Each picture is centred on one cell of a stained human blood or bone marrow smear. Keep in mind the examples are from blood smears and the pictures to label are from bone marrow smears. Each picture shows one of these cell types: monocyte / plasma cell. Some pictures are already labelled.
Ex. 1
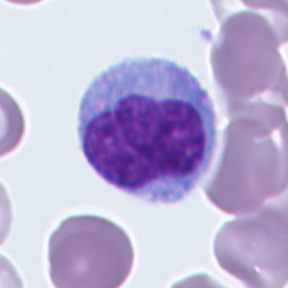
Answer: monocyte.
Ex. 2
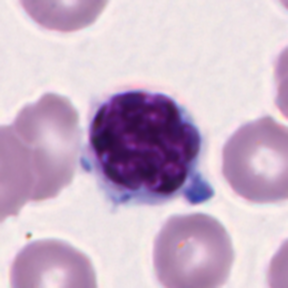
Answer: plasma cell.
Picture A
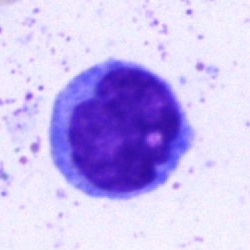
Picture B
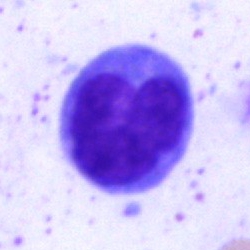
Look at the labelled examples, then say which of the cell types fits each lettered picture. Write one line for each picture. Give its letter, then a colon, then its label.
A: monocyte.
B: monocyte.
